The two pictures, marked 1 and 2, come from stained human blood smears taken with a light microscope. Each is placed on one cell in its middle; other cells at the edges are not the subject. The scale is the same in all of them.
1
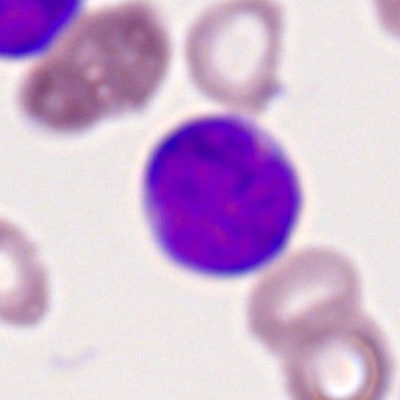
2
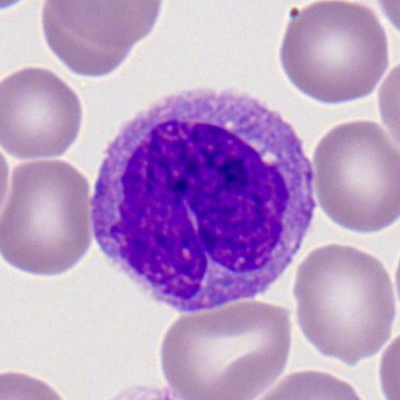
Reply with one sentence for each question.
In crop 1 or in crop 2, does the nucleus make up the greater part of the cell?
It is the cell in crop 1 that is filled more by its nucleus.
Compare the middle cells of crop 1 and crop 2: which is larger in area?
The cell in crop 2 is larger, with about 1.5 times the area of the one in crop 1.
